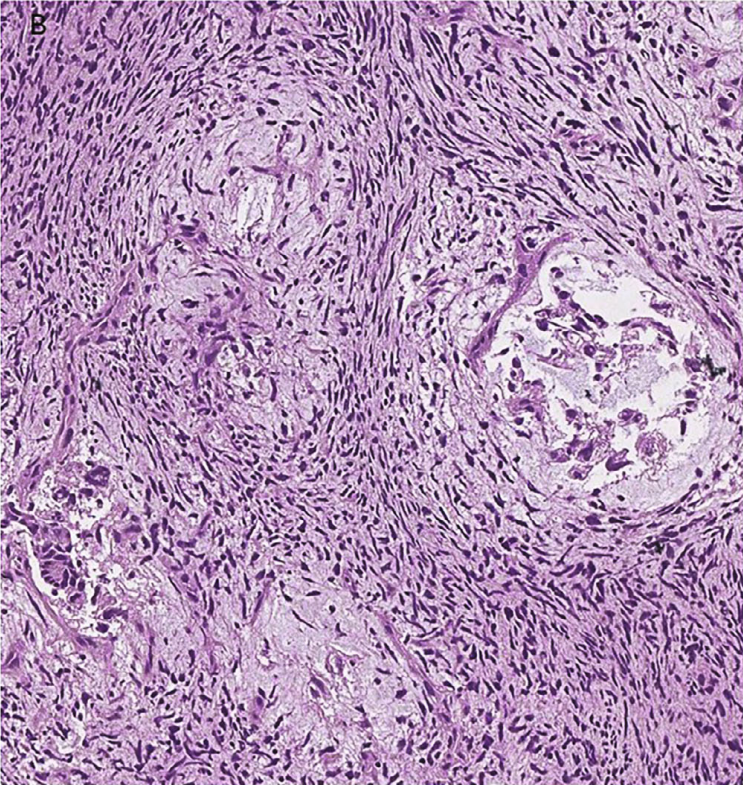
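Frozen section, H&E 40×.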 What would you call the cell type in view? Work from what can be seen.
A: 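Many elongated cells with dark purple, spindle-shaped nuclei. The cells run in sweeping fascicles. A pale pink fibrillary background lies between the cells.
Conclusion: sarcomatoid basophilic cells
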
